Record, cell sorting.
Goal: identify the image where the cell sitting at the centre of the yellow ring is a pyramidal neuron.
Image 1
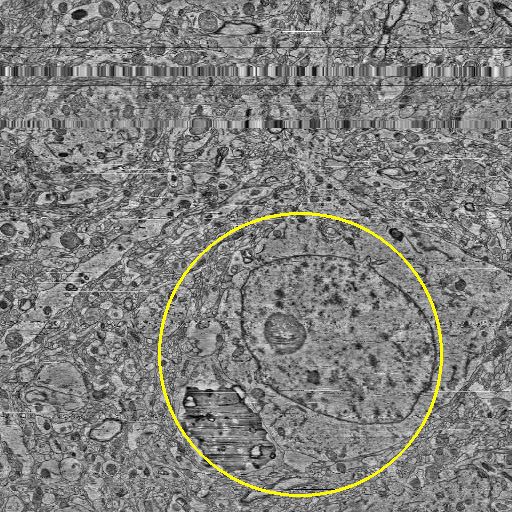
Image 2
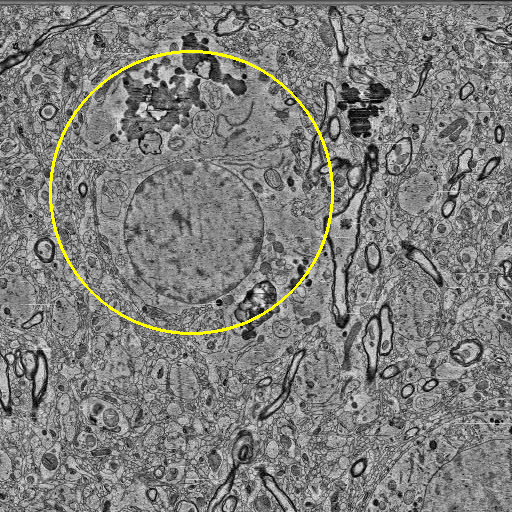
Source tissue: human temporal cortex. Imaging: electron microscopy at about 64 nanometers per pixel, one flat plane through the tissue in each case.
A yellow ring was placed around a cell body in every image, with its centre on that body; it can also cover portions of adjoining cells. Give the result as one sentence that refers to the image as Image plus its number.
Image 1 shows the requested cell sitting right at the centre of its ring.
